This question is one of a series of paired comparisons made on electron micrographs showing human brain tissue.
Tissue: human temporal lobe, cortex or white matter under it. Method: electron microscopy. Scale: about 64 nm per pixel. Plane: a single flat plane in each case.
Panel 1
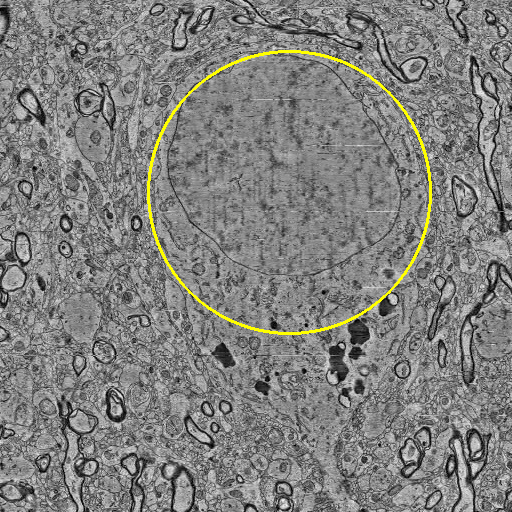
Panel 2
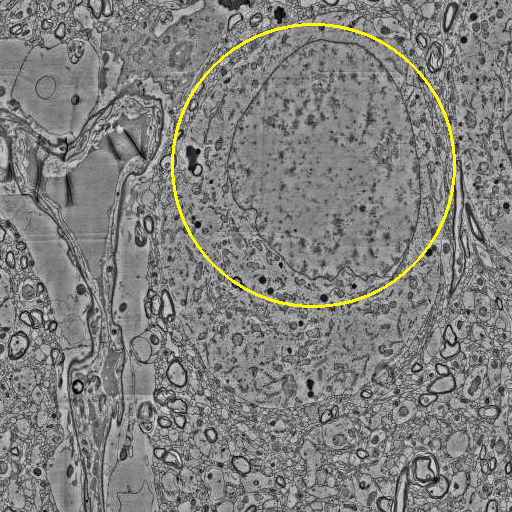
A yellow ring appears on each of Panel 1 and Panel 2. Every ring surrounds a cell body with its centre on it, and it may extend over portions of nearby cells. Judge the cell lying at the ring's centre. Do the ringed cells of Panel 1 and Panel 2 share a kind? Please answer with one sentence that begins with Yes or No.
Yes, the ring-centre cell in Panel 1 and the one in Panel 2 are of one kind.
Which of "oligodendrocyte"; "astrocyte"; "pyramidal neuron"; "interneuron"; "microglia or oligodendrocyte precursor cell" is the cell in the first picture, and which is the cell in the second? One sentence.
Each of the two rings is centred on a pyramidal neuron.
